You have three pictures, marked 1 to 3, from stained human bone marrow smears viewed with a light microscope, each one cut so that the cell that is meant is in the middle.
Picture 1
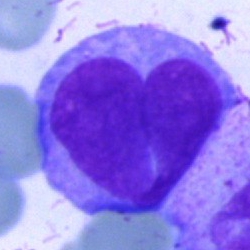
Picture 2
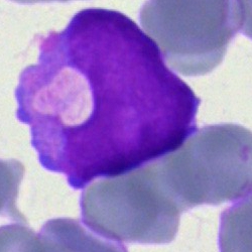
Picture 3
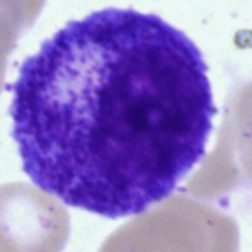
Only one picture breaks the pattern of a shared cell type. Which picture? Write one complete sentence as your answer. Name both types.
Unlike the rest, which show blasts, picture 3 shows a promyelocyte.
